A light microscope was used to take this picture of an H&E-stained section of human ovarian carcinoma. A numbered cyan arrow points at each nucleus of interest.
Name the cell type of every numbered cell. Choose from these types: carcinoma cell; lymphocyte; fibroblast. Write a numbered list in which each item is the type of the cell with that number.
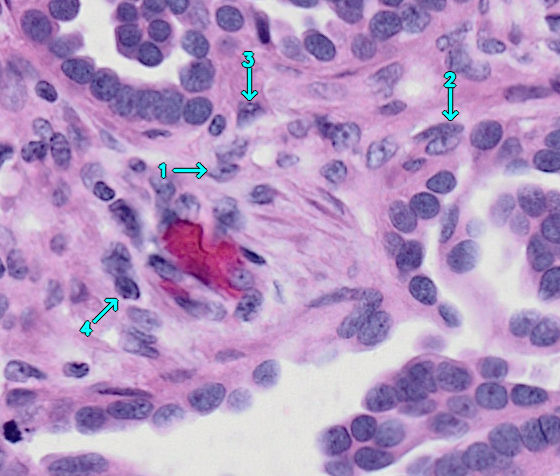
1. fibroblast
2. fibroblast
3. fibroblast
4. lymphocyte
